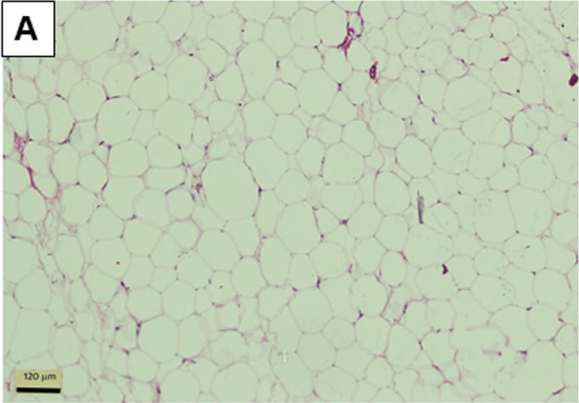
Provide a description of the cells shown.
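This is adipose tissue made of closely packed adipocytes, each seen as a large, rounded to polygonal, clear space left where the single lipid droplet was. The cells are bounded by thin pink rims of cytoplasm, with only occasional small dark nuclei pressed against the edge. The cell sizes vary, with smaller cells intermixed among larger ones. Scattered thin strands of pink connective tissue and small vessels run between the cells.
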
